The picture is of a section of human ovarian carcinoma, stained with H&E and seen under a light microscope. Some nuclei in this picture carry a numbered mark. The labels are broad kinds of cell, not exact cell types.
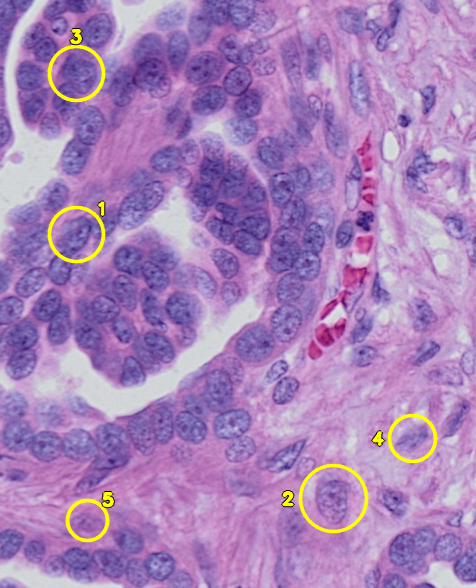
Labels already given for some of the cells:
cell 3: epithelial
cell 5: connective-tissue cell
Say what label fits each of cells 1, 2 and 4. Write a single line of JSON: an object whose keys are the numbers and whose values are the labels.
{"1": "epithelial", "2": "connective-tissue cell", "4": "connective-tissue cell"}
